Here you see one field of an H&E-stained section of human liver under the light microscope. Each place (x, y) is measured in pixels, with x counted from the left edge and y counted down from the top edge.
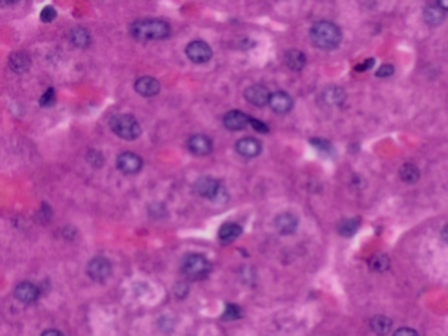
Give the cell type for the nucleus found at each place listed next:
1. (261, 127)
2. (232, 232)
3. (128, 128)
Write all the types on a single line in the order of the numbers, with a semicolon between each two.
fibroblast or stellate cell; Kupffer cell; hepatocyte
